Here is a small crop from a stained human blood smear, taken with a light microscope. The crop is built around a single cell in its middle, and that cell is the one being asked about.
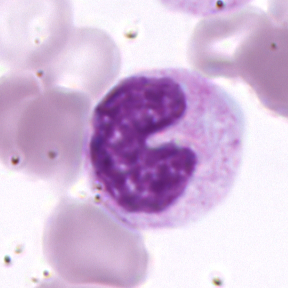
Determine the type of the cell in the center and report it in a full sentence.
The cell marked by its central position in the crop is a band neutrophil.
